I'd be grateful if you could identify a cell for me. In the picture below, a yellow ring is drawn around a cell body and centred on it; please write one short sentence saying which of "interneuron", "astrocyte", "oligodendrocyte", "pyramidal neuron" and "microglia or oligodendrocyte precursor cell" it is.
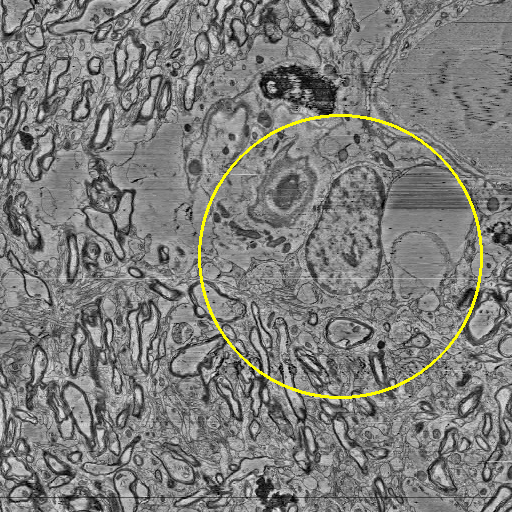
The cell under the ring's centre is a microglial cell or oligodendrocyte precursor cell.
